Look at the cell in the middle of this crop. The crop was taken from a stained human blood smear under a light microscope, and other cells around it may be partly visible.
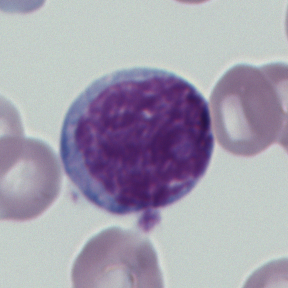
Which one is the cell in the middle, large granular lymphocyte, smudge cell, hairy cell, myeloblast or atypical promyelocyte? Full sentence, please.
In this smear crop, the middle cell is a myeloblast.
